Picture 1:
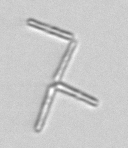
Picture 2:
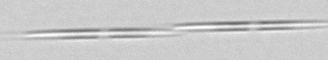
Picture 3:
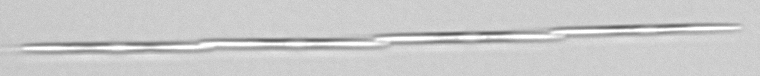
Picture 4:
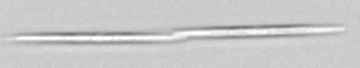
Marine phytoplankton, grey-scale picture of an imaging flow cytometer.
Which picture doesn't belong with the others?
Picture 1.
